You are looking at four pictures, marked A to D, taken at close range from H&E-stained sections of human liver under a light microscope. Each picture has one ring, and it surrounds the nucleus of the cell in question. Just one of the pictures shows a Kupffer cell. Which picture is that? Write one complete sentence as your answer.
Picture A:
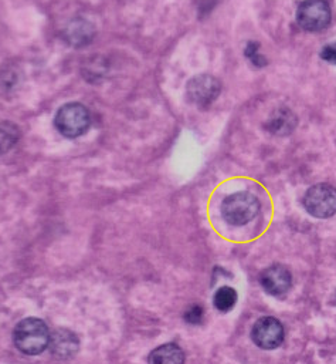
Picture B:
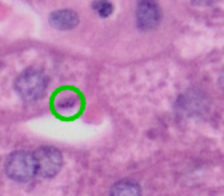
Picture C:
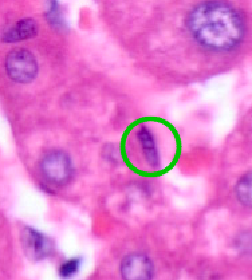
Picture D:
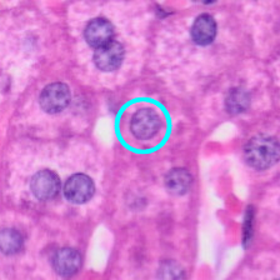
Picture B shows the Kupffer cell.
